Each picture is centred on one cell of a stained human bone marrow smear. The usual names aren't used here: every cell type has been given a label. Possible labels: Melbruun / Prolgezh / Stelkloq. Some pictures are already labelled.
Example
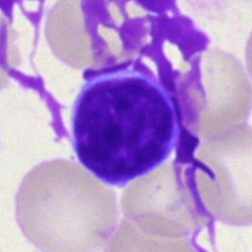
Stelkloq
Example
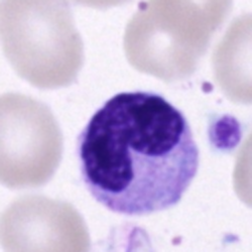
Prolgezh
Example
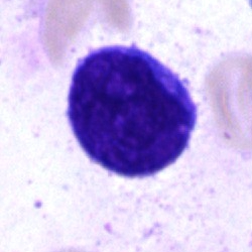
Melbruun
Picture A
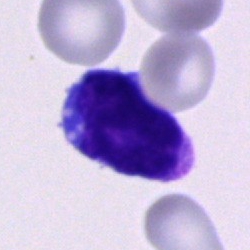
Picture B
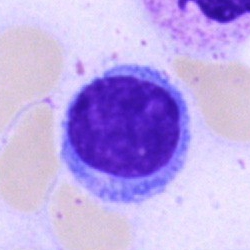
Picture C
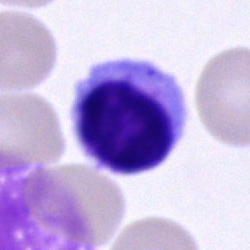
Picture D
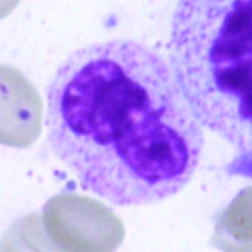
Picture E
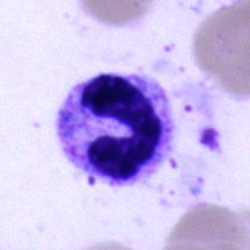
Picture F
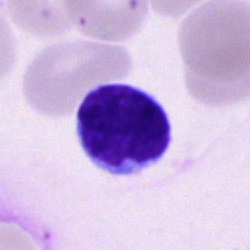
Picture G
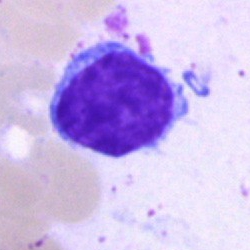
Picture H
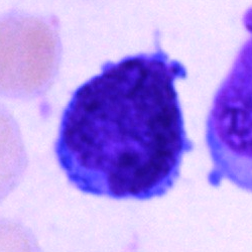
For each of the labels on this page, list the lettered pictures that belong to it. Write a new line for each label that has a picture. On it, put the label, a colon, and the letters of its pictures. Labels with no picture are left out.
Melbruun: A, H
Prolgezh: D, E
Stelkloq: B, C, F, G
